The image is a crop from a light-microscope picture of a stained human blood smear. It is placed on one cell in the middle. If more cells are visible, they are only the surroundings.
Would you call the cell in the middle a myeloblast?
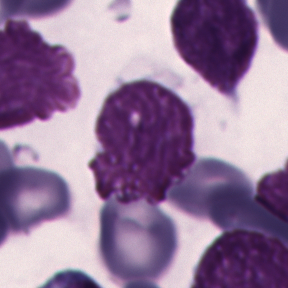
no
